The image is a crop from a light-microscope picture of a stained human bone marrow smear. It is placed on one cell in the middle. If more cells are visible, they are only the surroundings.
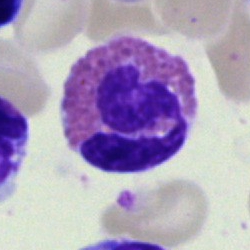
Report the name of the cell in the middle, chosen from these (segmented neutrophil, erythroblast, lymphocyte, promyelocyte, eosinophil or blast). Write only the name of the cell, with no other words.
eosinophil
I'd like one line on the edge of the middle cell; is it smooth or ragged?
If you check the edge, you will find it smooth without projections.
